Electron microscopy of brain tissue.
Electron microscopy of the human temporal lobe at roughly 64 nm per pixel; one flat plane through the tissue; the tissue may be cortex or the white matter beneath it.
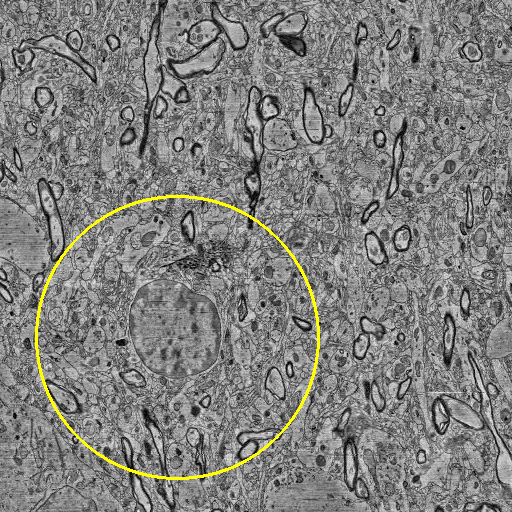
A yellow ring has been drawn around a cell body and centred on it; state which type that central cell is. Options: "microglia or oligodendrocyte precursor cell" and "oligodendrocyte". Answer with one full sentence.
The cell at the middle of the yellow ring is a microglial cell or oligodendrocyte precursor cell in this picture.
